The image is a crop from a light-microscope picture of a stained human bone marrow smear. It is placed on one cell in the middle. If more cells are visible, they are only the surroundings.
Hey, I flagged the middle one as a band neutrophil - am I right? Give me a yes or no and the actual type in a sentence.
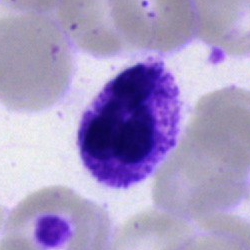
No, the central cell is not a band neutrophil; it is a segmented neutrophil.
